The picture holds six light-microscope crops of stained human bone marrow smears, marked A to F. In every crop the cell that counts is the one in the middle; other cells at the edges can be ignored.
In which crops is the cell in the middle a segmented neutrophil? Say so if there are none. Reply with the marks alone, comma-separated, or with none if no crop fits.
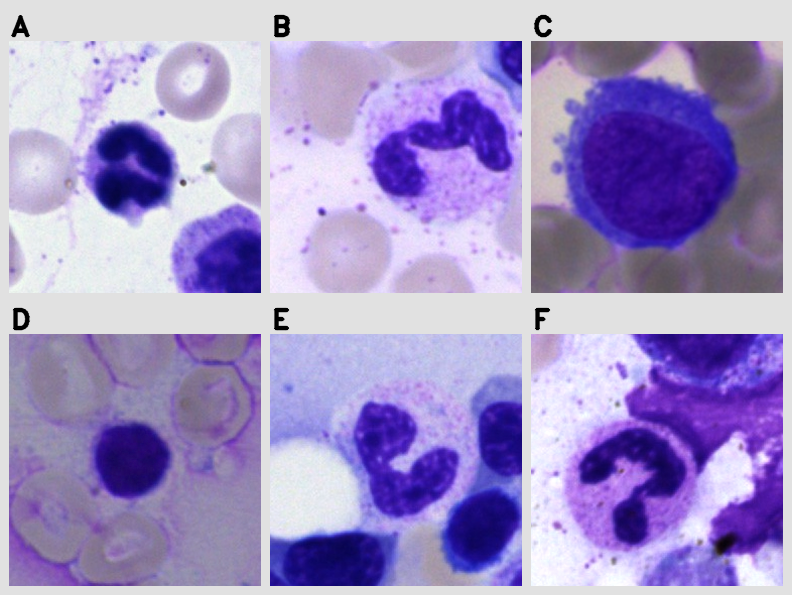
A, B, E, F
